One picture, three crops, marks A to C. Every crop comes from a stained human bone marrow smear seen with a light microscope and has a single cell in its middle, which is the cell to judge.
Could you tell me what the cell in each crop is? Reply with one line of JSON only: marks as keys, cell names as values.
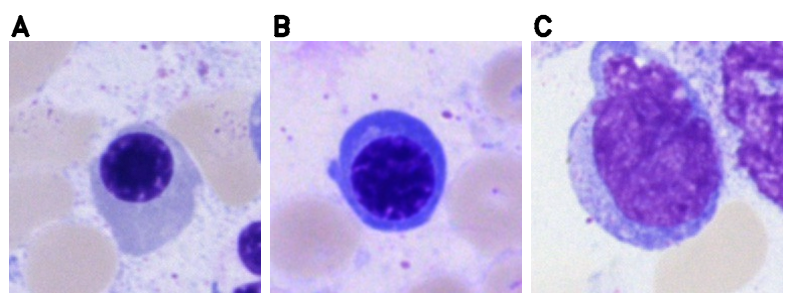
{"A": "erythroblast", "B": "erythroblast", "C": "blast"}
